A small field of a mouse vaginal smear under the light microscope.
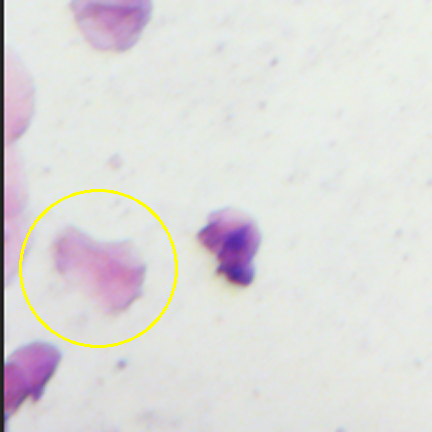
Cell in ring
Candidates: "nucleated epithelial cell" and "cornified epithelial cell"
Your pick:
cornified epithelial cell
